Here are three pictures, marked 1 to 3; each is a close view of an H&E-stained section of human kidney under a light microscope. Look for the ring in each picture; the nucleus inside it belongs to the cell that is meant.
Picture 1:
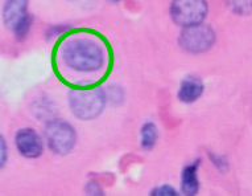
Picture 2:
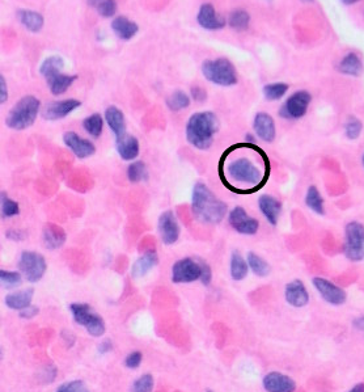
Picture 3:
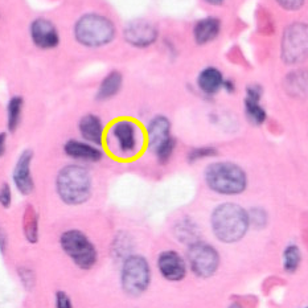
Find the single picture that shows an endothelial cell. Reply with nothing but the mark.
2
